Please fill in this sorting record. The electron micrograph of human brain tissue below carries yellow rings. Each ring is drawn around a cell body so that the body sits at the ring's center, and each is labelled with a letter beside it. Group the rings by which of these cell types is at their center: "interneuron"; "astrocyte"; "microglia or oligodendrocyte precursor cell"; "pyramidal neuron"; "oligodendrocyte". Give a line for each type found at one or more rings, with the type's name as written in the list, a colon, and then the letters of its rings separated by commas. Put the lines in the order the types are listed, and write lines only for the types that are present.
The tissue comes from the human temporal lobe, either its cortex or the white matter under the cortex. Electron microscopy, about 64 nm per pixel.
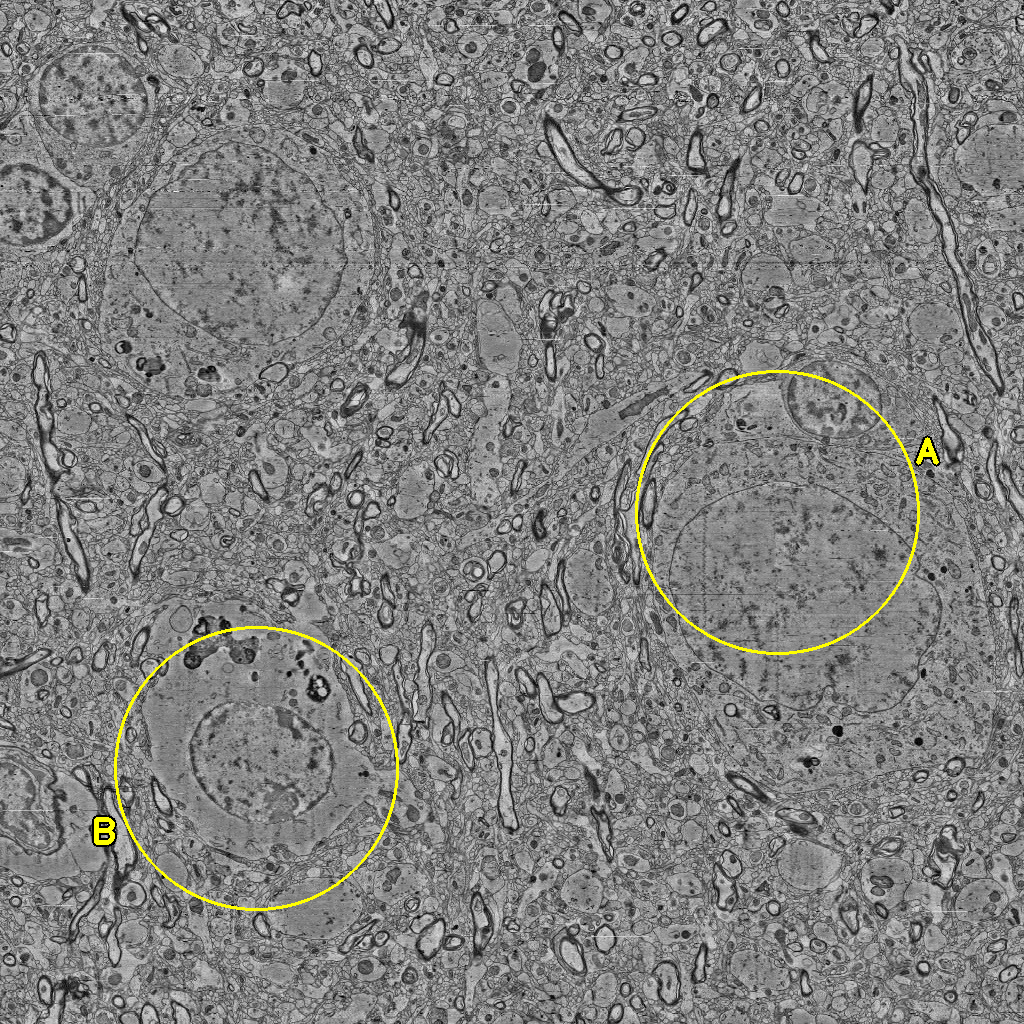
astrocyte: B
pyramidal neuron: A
